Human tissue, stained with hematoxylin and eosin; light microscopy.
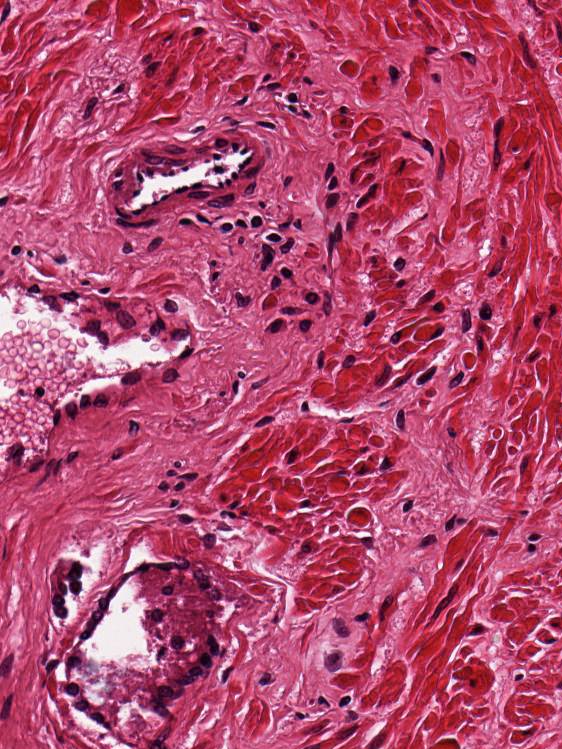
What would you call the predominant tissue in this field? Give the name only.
fibromuscular stroma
